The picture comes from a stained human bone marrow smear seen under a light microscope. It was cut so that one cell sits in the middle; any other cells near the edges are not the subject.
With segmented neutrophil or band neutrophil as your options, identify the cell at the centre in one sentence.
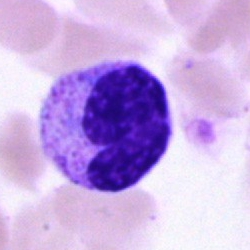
Where the crop is centred, there is a band neutrophil.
